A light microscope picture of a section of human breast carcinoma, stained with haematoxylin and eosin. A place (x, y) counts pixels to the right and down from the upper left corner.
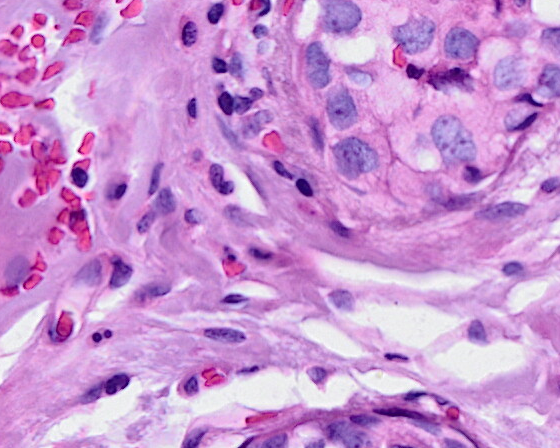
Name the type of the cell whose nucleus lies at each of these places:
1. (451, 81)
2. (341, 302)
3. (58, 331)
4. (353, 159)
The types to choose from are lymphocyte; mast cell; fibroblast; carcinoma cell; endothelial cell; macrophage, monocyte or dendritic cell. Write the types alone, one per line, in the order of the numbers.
carcinoma cell
fibroblast
endothelial cell
carcinoma cell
